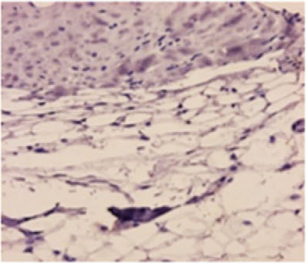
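The upper part of the field holds more cellular, purple-staining tissue with scattered blue nuclei. No brown staining is seen anywhere in the field.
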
